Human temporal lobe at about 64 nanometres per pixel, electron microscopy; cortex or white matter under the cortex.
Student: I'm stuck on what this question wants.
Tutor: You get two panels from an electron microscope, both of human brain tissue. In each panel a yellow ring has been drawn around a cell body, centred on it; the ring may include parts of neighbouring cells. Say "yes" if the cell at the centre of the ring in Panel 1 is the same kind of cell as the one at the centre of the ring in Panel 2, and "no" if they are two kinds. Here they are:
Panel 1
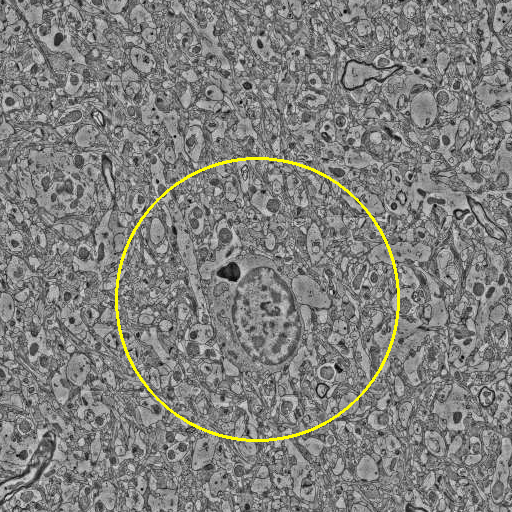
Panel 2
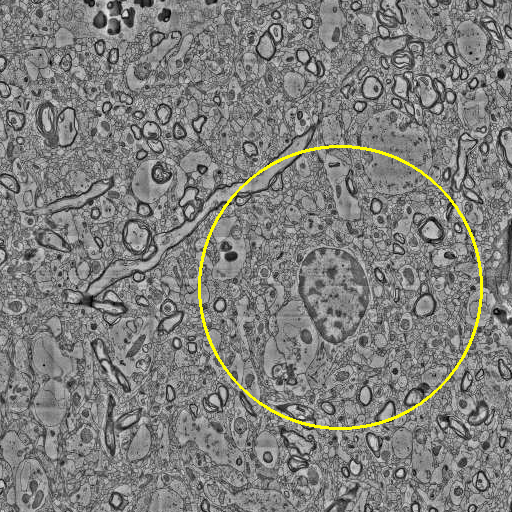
no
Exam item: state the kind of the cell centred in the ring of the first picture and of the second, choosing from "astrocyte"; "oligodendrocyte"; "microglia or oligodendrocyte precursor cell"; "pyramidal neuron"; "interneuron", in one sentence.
The first picture shows an oligodendrocyte at the ring centre and the second shows a microglial cell or oligodendrocyte precursor cell.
